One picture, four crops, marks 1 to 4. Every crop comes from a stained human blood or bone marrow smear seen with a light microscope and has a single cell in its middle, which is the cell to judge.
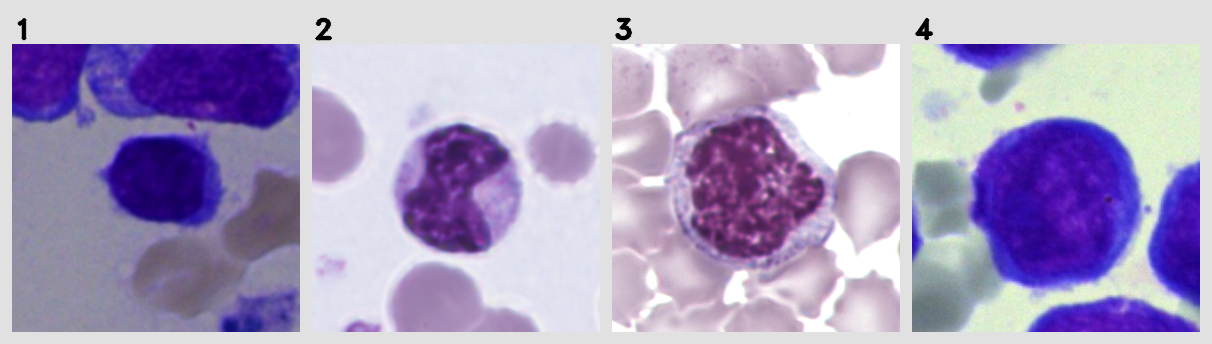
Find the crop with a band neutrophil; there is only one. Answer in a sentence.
It is crop 2 that shows a band neutrophil.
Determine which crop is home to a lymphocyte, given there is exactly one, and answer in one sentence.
Crop 1 is the crop that shows a lymphocyte in its middle.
